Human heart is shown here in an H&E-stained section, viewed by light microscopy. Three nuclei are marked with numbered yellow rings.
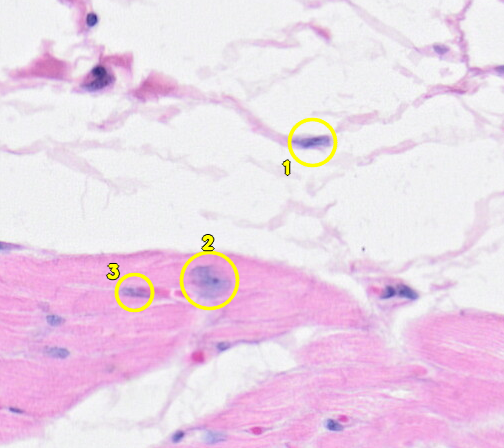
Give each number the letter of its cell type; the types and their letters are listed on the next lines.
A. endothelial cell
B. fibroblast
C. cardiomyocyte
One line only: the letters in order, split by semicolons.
B; C; A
